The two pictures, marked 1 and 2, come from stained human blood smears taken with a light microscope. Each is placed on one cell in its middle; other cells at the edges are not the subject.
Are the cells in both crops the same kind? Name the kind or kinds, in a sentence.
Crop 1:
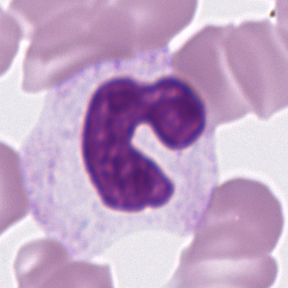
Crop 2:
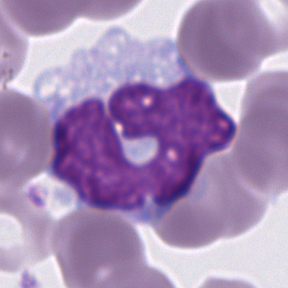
No, the cell at the middle of crop 1 is a band neutrophil, while crop 2 centres on a monocyte.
